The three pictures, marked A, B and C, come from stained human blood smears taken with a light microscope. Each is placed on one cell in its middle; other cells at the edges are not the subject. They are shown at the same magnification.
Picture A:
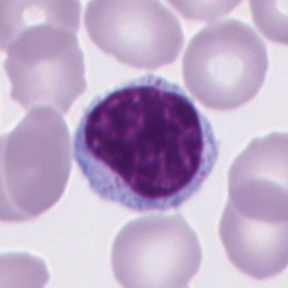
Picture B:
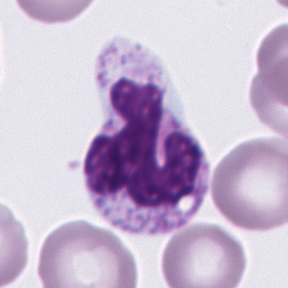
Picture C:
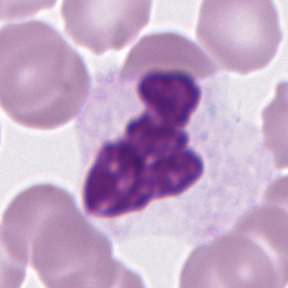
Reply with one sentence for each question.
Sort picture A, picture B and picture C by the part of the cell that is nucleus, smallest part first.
They run C, B, A, the least filled first.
